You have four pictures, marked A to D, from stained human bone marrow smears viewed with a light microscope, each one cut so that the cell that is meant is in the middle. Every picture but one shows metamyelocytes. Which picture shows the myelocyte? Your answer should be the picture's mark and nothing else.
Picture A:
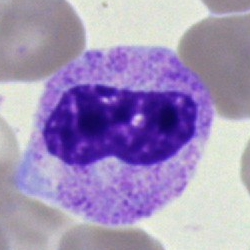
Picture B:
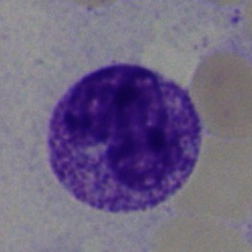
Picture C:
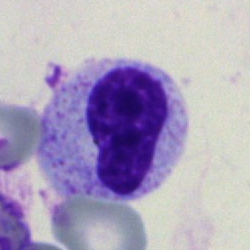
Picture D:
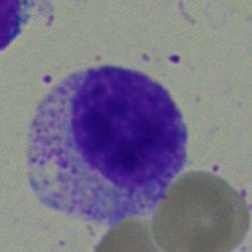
D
